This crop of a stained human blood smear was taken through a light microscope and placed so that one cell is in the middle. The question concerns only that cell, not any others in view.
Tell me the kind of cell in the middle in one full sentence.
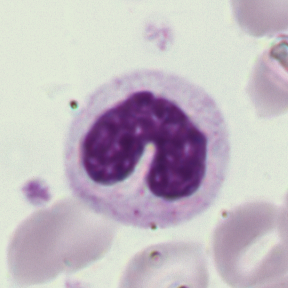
The central cell, amid any neighbouring cells, is a band neutrophil.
